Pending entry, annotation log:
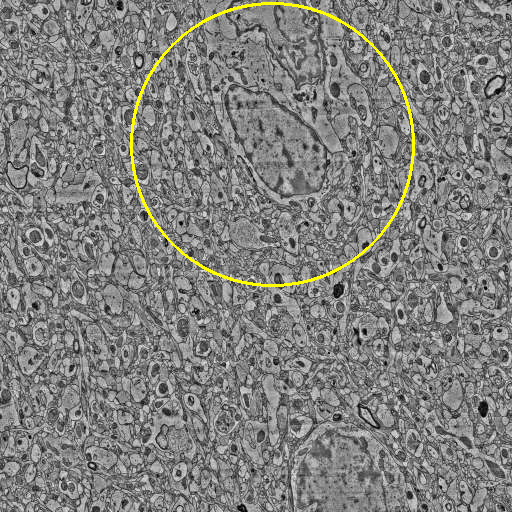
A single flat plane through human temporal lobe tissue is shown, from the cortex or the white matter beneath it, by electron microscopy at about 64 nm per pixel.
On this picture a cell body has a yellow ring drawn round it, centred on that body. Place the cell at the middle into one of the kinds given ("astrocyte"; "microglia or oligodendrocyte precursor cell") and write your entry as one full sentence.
The cell body at the middle of the yellow ring belongs to a microglial cell or oligodendrocyte precursor cell.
